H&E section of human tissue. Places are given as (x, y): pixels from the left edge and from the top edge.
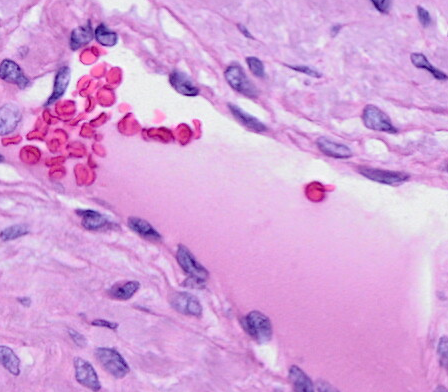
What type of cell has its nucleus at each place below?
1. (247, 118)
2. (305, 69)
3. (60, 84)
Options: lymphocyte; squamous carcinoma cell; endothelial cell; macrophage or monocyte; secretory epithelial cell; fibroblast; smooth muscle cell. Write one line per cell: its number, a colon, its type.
1: endothelial cell
2: fibroblast
3: endothelial cell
